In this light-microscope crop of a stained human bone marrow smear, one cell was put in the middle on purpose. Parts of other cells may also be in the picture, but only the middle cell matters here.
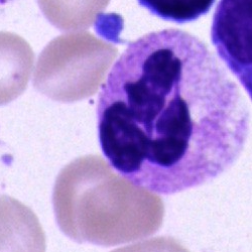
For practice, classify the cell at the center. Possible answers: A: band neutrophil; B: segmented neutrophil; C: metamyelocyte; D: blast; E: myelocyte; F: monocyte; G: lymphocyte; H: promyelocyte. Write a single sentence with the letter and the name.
Option B is the correct option, with the middle cell being a segmented neutrophil.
